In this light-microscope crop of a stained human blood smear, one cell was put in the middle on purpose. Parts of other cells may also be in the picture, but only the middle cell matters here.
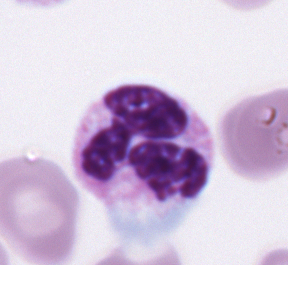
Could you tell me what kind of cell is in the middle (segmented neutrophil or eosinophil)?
segmented neutrophil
